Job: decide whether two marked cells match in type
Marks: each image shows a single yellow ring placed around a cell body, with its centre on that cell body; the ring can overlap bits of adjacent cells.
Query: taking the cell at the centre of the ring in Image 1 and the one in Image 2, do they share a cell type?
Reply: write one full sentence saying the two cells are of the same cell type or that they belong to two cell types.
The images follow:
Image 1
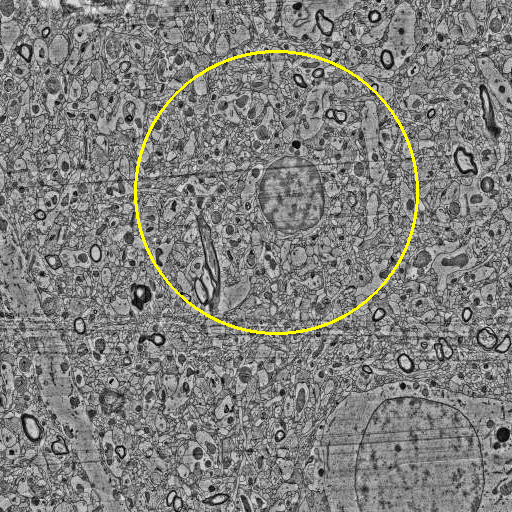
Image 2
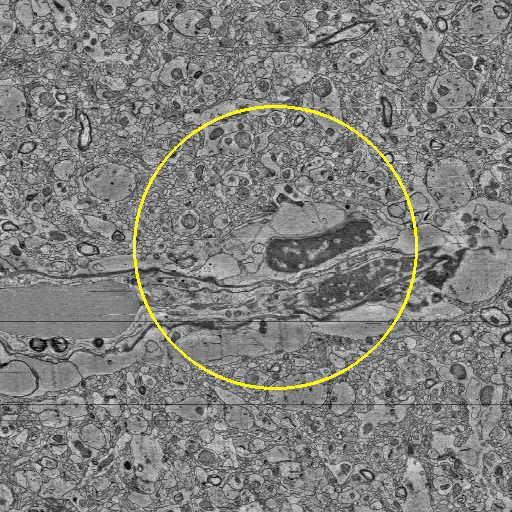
The cells at the ring centres in Image 1 and Image 2 belong to two cell types.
